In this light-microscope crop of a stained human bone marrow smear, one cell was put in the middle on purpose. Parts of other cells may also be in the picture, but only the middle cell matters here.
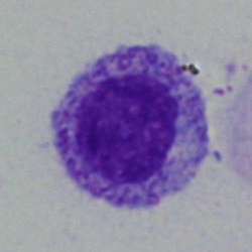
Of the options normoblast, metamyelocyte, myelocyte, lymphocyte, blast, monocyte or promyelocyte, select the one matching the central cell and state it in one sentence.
This crop is built around a myelocyte at its centre.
